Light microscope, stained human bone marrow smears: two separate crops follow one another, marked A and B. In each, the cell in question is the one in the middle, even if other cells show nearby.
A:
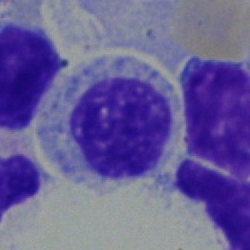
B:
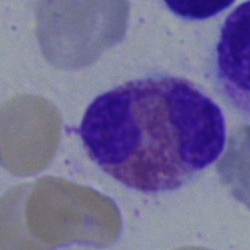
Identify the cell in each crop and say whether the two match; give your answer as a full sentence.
No, what crop A shows is a myelocyte, and what crop B shows is an eosinophil.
